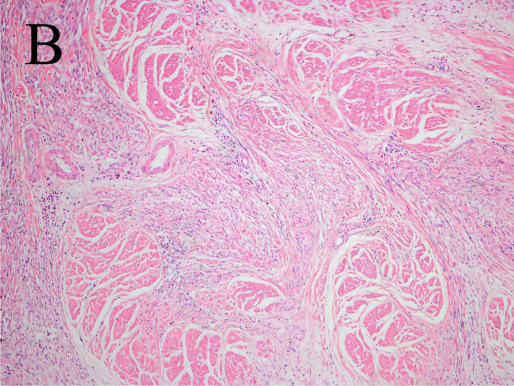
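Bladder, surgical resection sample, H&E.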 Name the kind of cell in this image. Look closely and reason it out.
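Rounded pink muscle bundles are separated and surrounded by paler cellular tissue. The tissue between the bundles holds elongated, spindle-shaped nuclei. So: spindle cells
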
